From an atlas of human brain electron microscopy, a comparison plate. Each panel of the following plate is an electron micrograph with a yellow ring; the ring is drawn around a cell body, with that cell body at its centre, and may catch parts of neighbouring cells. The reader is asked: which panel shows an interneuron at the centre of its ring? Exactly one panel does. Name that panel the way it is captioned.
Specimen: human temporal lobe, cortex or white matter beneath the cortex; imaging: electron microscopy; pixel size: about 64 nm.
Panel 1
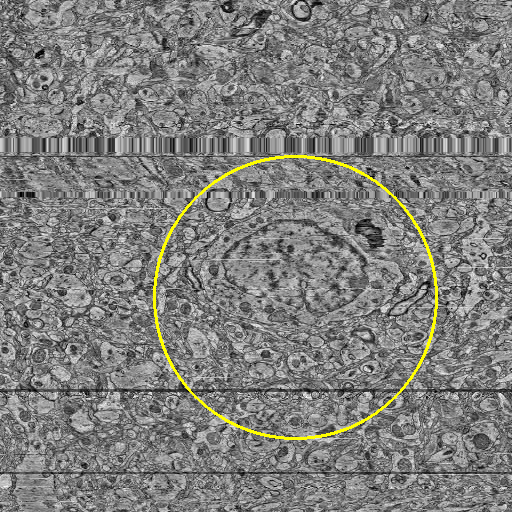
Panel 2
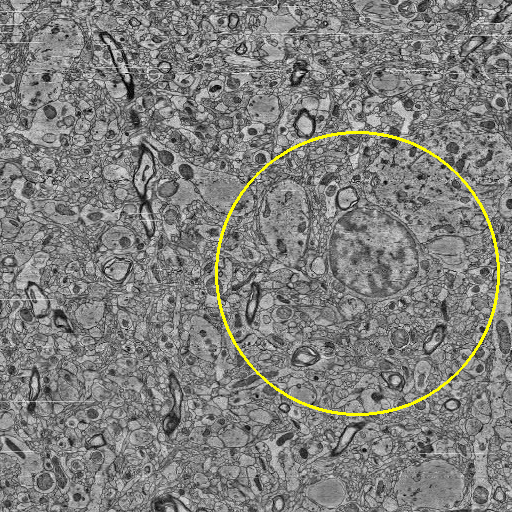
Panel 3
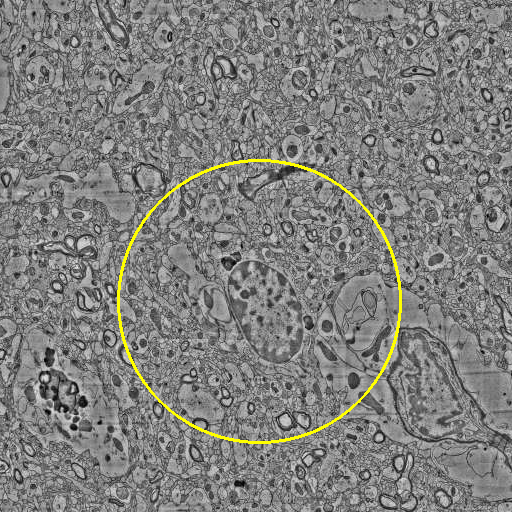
Panel 1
